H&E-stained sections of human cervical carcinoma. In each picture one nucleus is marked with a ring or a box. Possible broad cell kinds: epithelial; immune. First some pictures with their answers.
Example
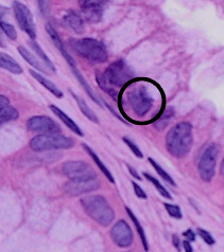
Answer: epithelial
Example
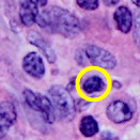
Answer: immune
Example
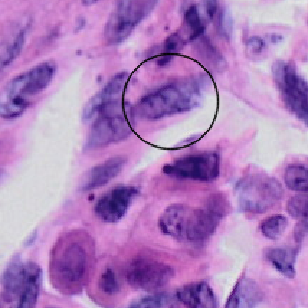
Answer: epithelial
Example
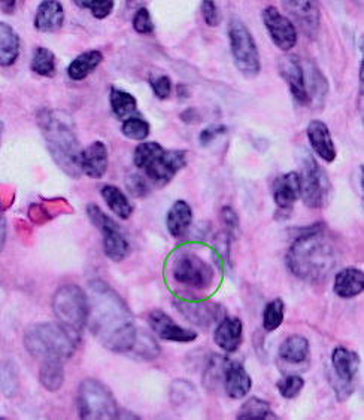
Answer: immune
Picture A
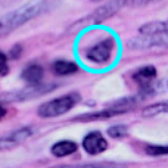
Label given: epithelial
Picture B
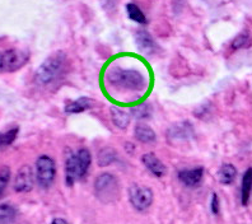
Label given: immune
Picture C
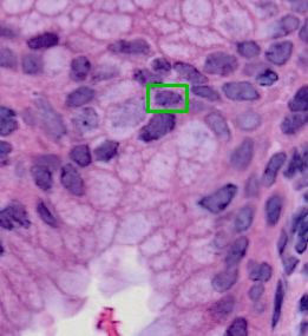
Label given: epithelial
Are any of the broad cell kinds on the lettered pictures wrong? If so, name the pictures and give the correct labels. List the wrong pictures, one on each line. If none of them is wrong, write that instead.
A: immune, not epithelial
